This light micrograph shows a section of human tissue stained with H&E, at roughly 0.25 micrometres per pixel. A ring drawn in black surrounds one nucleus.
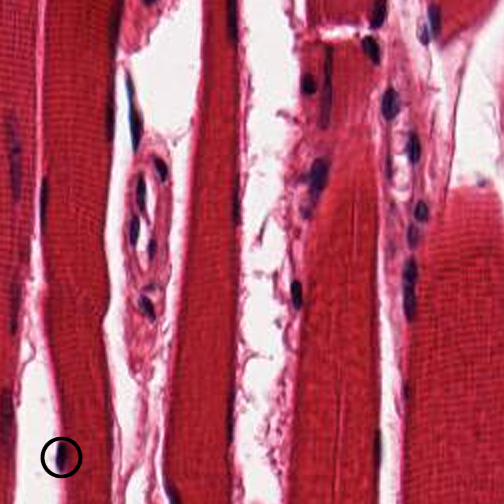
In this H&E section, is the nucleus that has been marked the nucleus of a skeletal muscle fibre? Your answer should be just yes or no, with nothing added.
yes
